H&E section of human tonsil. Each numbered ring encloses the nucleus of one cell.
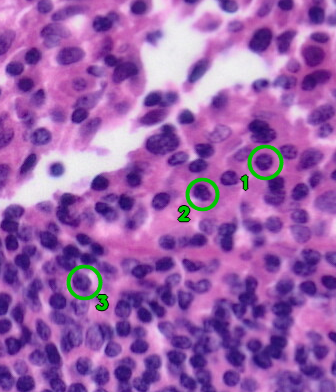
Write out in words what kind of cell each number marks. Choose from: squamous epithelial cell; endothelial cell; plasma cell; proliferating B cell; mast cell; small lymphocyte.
Cells 1 and 2 are plasma cells. Cell 3 is a small lymphocyte.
